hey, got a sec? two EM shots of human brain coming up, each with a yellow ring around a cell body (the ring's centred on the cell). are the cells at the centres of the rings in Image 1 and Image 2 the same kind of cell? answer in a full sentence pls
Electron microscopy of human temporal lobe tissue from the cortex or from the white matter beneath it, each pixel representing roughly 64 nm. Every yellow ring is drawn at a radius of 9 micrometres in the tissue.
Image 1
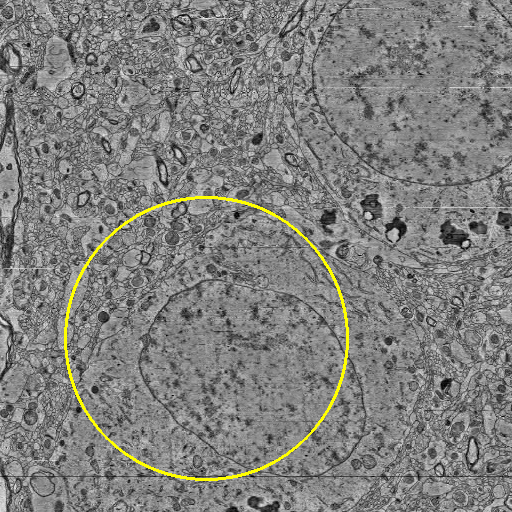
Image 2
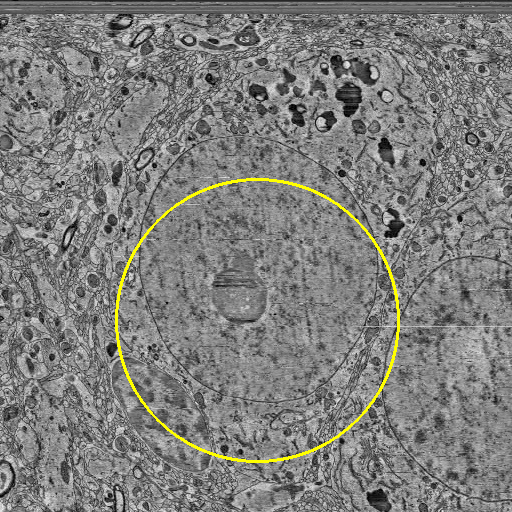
Yes, both are the same kind of cell.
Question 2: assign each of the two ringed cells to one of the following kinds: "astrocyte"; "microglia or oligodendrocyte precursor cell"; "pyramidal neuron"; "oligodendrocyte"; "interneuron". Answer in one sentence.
In each of the two pictures, the ringed cell is a pyramidal neuron.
